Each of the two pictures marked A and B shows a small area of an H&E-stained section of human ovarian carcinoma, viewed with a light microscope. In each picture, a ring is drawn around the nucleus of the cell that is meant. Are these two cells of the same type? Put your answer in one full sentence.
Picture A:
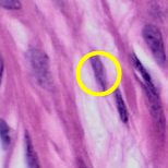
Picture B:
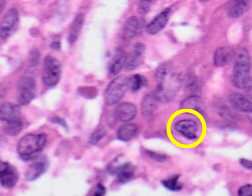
No; the cell in picture A is a fibroblast, while the one in picture B is a “macrophage or monocyte”.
